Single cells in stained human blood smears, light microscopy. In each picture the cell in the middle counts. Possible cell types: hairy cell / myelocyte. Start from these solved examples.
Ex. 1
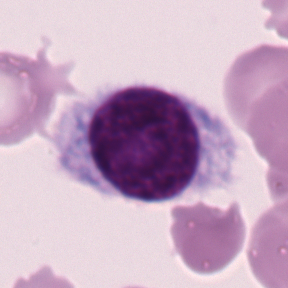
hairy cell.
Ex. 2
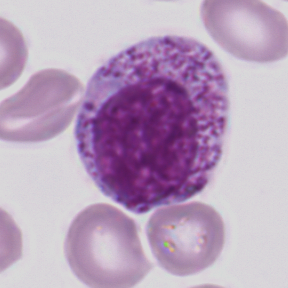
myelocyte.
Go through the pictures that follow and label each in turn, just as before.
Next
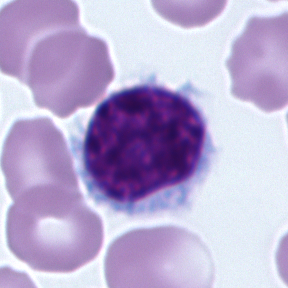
hairy cell.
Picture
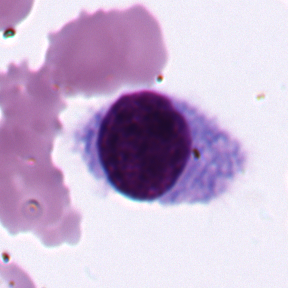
hairy cell.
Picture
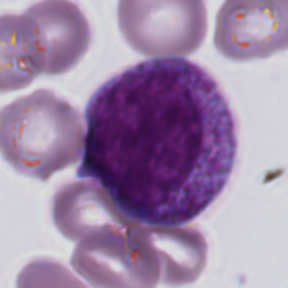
myelocyte.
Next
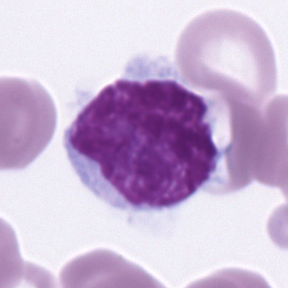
hairy cell.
